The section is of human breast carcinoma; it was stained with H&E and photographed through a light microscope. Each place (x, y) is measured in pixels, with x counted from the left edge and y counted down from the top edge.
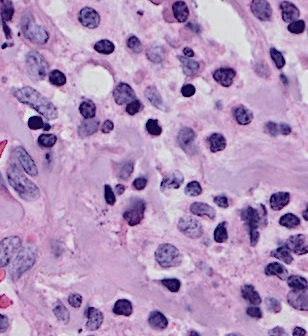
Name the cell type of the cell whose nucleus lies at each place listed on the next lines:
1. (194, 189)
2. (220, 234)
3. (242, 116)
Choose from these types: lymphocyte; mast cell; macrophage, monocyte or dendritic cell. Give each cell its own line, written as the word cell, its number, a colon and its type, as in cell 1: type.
cell 1: lymphocyte
cell 2: lymphocyte
cell 3: mast cell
